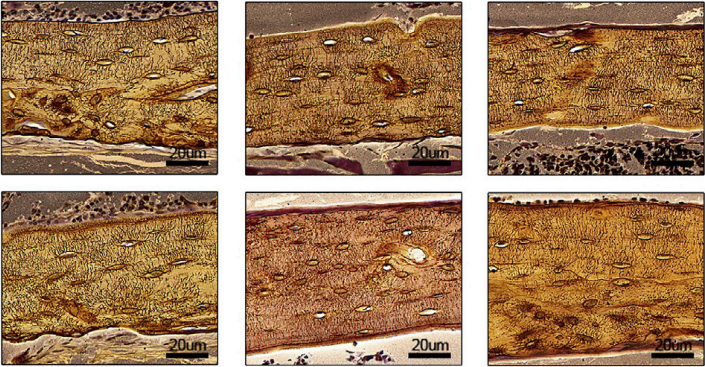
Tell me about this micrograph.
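The lacunae are small, elongated and spindle-shaped, lying parallel to the long axis of the bone band and fairly evenly spaced. From each lacuna many fine dark canaliculi radiate, giving a hair-like fringe that links neighbouring lacunae across the matrix. Darker, irregular patches and a few larger channels appear in the matrix in some images. Along the edges of the band lie looser tissue and cellular marrow.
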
